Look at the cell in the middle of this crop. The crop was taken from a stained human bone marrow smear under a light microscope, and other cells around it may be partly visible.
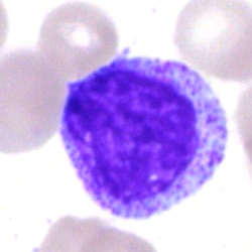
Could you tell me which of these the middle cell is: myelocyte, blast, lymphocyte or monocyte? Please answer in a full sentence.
The cell found in the middle of this crop is a myelocyte.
